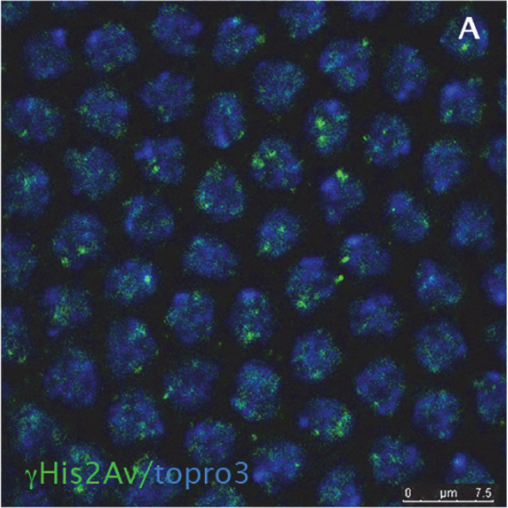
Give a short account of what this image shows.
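This shows the nuclei of an early embryonic syncytium, packed in a regular, evenly spaced array with no cell boundaries visible. Each nucleus is round to slightly oval, of similar size, and filled with blue-stained chromatin of fairly even, finely granular texture. The dark spaces between nuclei are of roughly equal width, giving a honeycomb-like pattern across the field.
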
